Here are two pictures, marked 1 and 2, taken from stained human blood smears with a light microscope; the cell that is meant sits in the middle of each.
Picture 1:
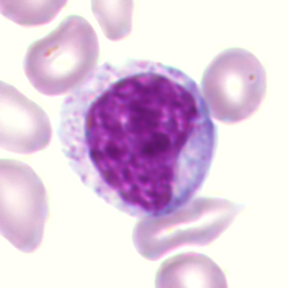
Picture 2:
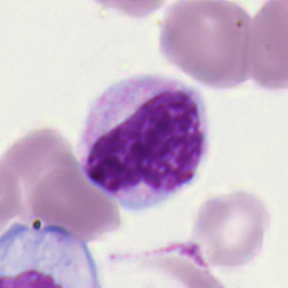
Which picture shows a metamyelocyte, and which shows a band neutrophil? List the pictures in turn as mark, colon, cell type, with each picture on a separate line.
1: metamyelocyte
2: band neutrophil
